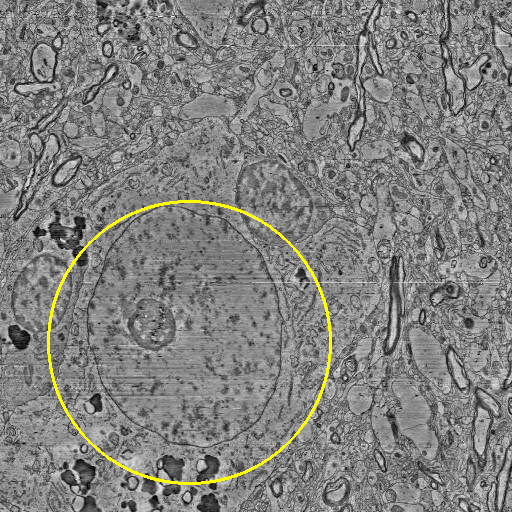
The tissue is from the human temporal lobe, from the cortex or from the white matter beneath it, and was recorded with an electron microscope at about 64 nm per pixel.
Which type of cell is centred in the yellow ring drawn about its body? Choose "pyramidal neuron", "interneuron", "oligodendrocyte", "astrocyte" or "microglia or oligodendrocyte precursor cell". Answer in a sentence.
The yellow ring surrounds the cell body of a pyramidal neuron.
